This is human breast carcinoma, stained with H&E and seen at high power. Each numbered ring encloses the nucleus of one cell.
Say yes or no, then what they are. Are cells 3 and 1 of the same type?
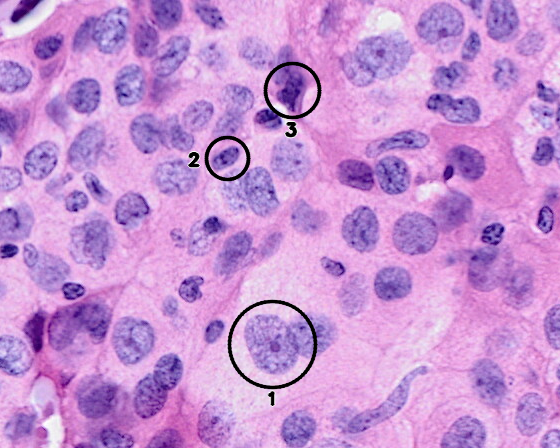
Yes, cells 3 and 1 are both carcinoma cells in this section.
